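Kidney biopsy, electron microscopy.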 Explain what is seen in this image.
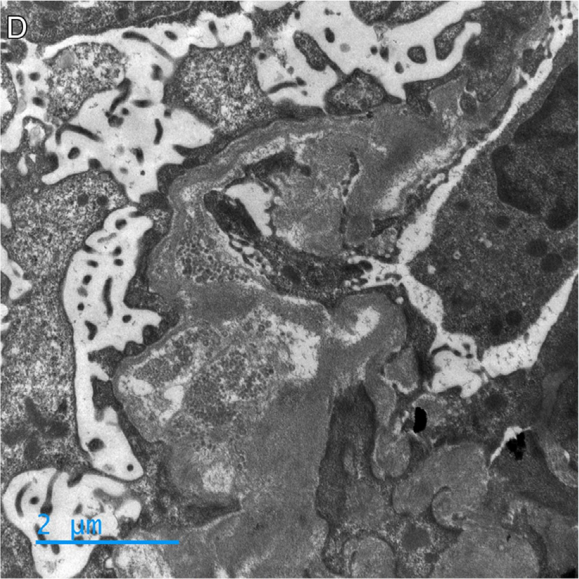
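This is a high-magnification electron micrograph of a glomerular capillary wall with podocyte foot processes bordering the white urinary space. The basement membrane is irregularly thickened and contains pale, moth-eaten areas with holes, and parts of it look dense and scarred.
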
